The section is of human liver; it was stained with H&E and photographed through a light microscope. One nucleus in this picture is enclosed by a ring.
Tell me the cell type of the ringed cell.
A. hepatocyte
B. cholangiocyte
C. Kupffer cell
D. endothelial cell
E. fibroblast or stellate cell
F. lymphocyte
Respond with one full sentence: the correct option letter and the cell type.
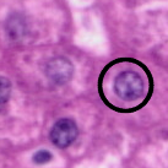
Option A is correct in that the ringed cell is a hepatocyte.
